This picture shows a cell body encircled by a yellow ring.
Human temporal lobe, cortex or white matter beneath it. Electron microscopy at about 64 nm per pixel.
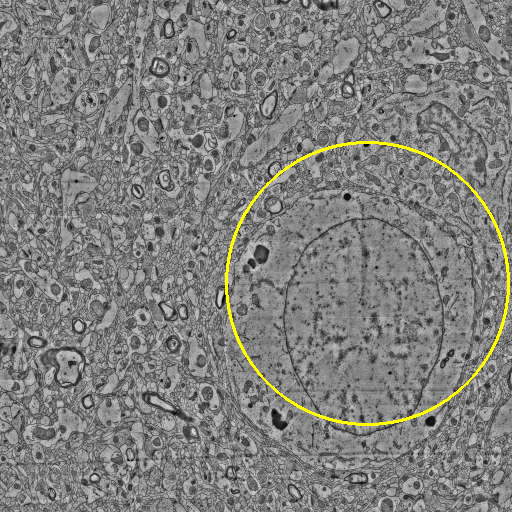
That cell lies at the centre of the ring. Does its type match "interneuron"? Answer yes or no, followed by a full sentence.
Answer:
No, in the picture, the ring surrounds a cell of another type at its centre.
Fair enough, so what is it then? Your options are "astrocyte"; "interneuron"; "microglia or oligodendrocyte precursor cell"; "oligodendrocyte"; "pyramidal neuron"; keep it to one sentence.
As it turns out, the cell at the ring centre is a pyramidal neuron.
